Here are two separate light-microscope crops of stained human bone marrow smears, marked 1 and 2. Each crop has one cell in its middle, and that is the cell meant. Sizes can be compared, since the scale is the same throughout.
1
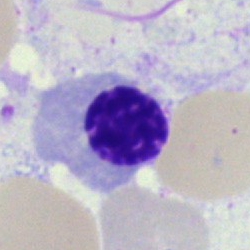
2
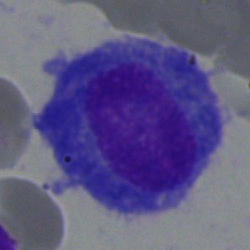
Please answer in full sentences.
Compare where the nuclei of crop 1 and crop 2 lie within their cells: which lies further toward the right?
It is the nucleus in crop 1 that lies further toward the right of its cell.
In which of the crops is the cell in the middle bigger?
Larger is the cell in crop 2, at roughly 2 times the area of the other.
